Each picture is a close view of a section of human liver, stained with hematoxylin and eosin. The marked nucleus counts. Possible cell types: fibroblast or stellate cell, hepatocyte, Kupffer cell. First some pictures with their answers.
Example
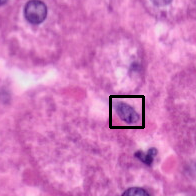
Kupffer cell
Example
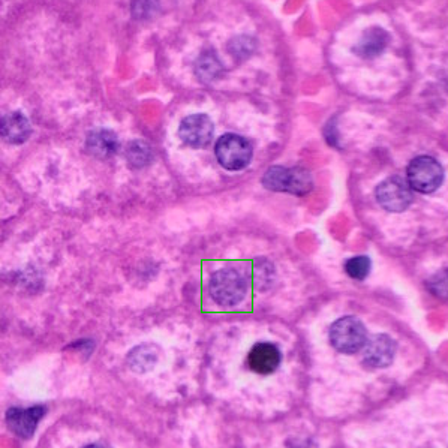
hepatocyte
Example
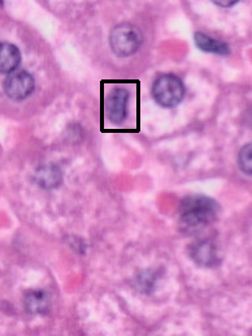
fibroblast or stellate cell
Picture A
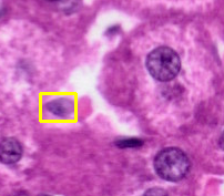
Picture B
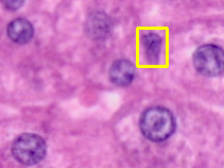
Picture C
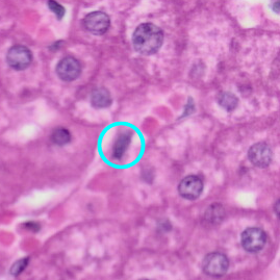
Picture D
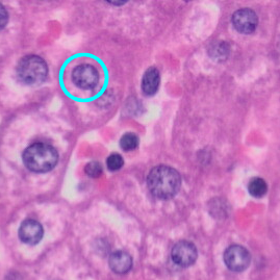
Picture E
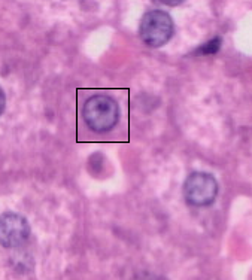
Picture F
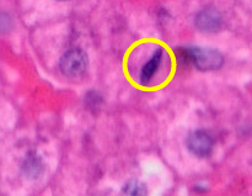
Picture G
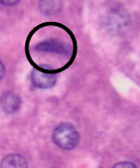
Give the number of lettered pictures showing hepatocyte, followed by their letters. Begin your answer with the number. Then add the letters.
2, namely D, E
